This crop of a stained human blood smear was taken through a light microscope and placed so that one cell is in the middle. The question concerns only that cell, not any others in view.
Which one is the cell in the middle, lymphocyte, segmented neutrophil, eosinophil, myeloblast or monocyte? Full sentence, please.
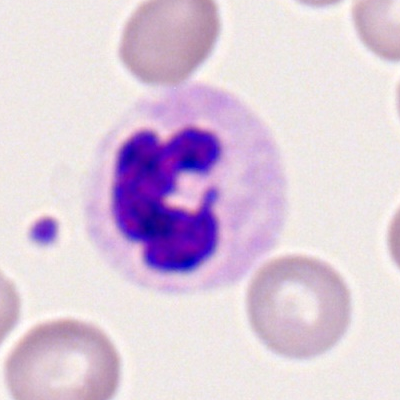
Of the cells in this crop, the central one is a segmented neutrophil.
